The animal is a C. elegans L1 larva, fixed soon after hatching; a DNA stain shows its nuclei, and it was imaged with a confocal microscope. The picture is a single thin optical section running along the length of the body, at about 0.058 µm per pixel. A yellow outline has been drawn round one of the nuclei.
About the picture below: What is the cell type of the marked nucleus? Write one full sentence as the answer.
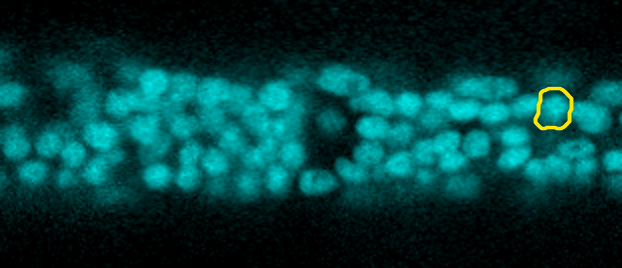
The cell with the marked nucleus is a hypodermal cell (hyp).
